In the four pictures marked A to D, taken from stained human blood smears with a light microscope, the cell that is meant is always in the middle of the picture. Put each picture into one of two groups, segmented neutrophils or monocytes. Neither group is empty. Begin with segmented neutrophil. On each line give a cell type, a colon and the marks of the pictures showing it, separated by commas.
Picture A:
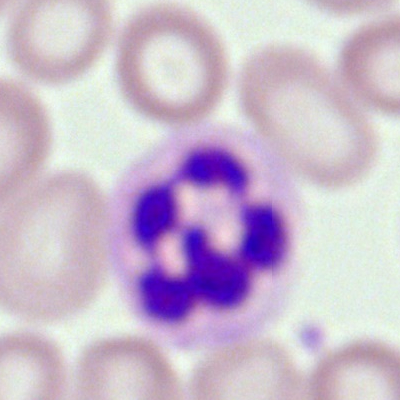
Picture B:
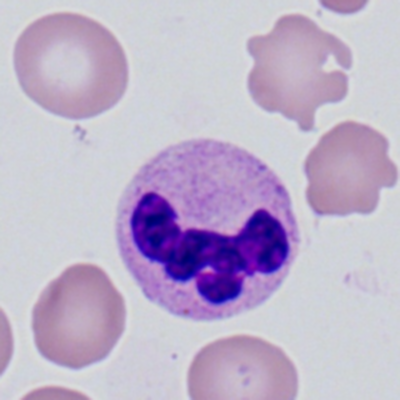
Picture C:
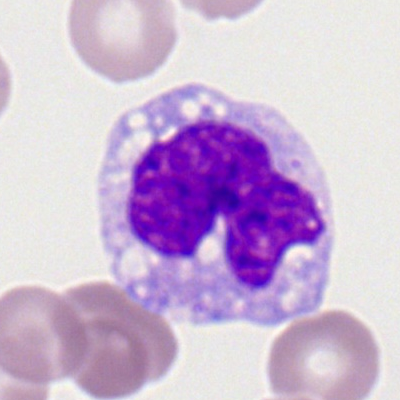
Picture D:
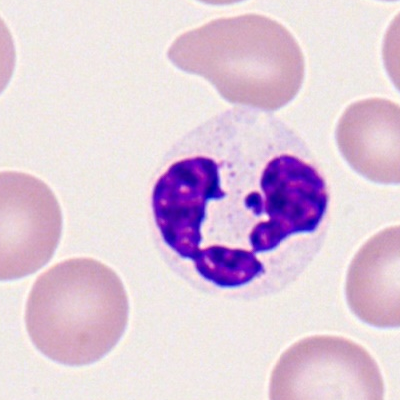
segmented neutrophil: A, B, D
monocyte: C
